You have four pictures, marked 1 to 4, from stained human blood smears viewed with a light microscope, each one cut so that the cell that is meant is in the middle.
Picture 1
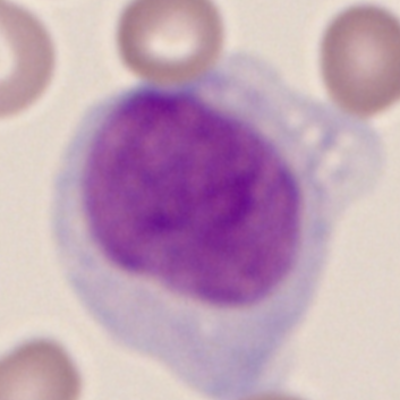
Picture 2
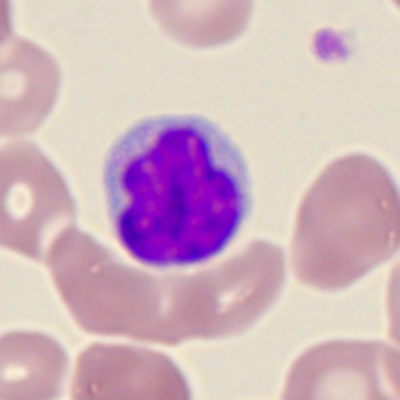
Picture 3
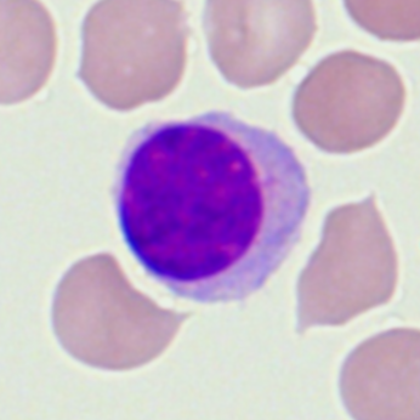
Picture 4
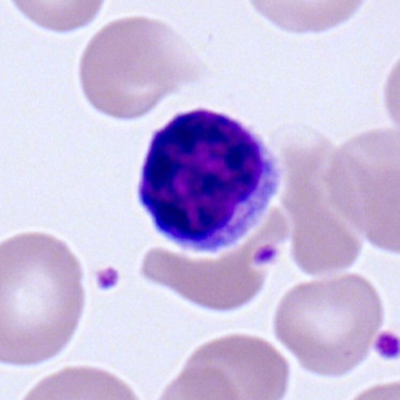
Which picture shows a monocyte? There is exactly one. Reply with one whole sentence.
Picture 1 is the one that shows the monocyte.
